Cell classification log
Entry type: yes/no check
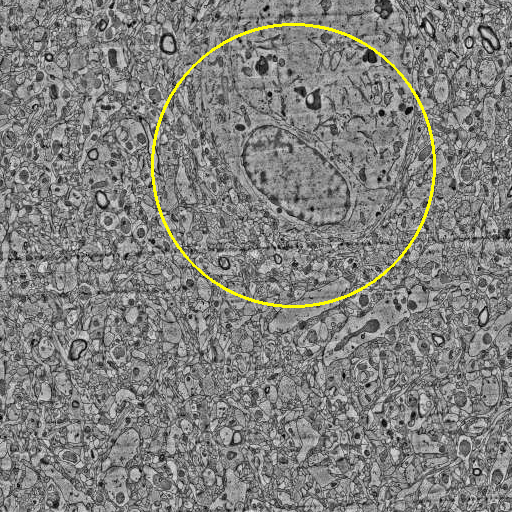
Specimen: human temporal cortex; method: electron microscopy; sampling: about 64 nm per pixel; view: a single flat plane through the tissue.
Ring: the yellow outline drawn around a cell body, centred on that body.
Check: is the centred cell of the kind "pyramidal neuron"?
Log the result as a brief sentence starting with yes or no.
No, the cell is of another kind.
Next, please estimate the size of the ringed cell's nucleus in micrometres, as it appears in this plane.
The nucleus is approximately 8 micrometres long but only about 4 wide, clearly longer than it is wide in this plane.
